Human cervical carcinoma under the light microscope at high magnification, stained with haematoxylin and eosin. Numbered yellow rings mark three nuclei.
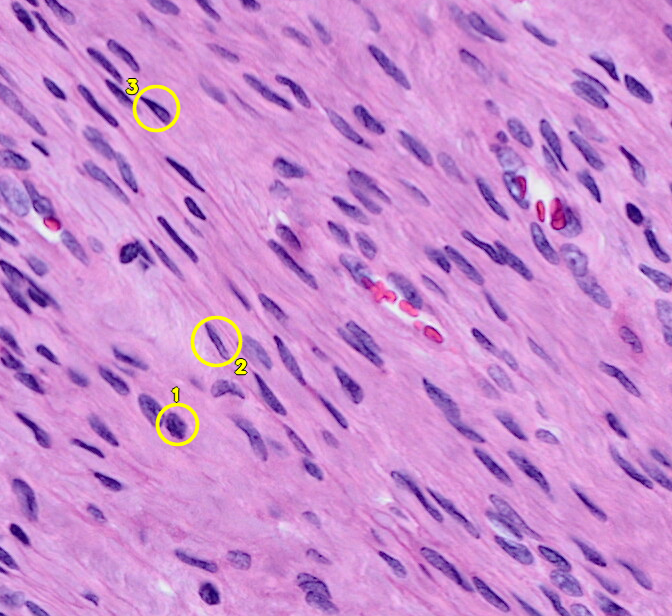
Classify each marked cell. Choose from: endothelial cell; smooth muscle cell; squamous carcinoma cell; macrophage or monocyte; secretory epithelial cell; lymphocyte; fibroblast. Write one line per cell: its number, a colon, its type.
1: lymphocyte
2: fibroblast
3: fibroblast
